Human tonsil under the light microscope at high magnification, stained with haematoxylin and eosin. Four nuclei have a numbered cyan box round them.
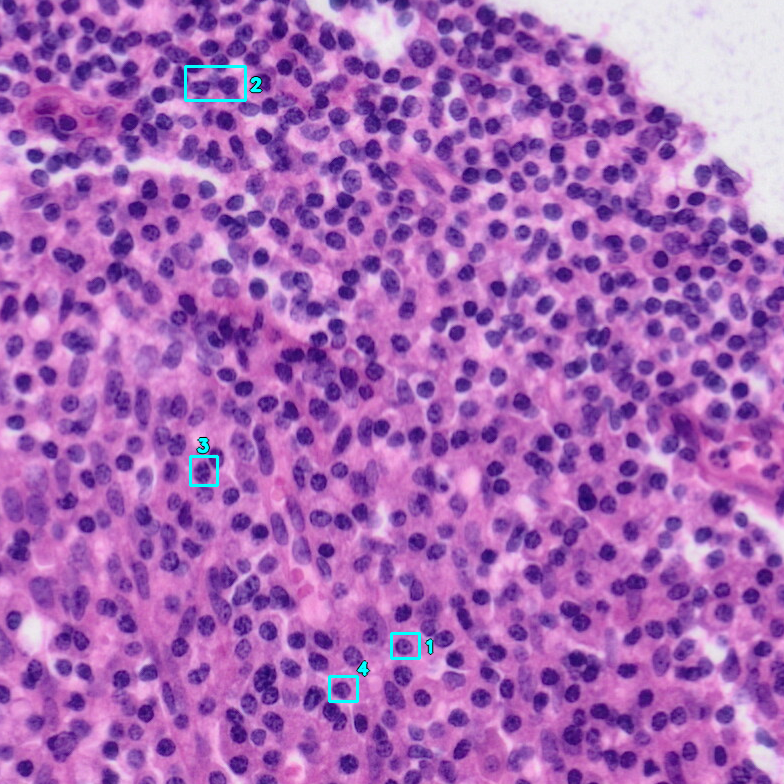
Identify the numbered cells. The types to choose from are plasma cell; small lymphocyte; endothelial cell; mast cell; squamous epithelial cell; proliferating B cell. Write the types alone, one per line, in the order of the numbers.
plasma cell
small lymphocyte
plasma cell
plasma cell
